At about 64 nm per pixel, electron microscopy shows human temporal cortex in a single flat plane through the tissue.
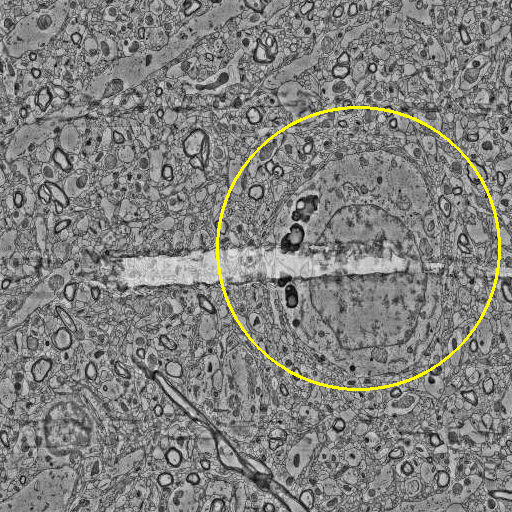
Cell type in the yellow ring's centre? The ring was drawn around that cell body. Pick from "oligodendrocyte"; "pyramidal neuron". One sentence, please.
The ringed cell body is that of a pyramidal neuron.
